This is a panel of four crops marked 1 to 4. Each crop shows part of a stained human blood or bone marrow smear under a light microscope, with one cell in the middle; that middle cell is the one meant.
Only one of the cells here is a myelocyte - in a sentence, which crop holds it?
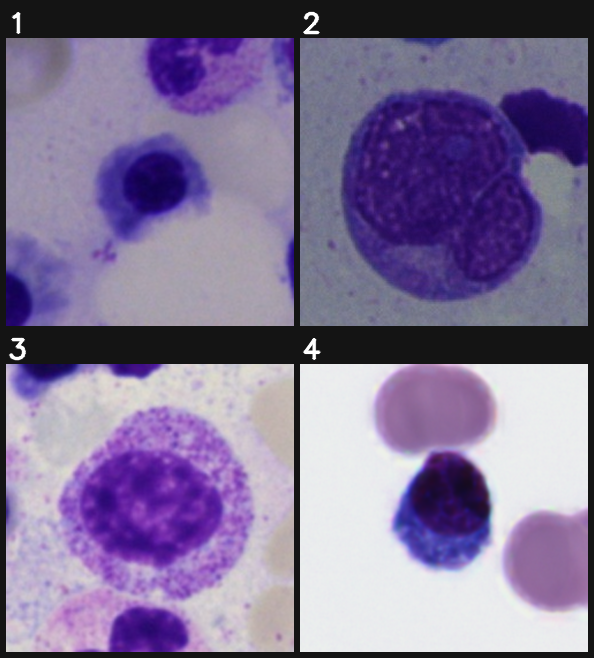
It is in crop 3 that a myelocyte is shown.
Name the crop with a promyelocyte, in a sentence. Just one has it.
Among these crops, crop 2 holds a promyelocyte.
